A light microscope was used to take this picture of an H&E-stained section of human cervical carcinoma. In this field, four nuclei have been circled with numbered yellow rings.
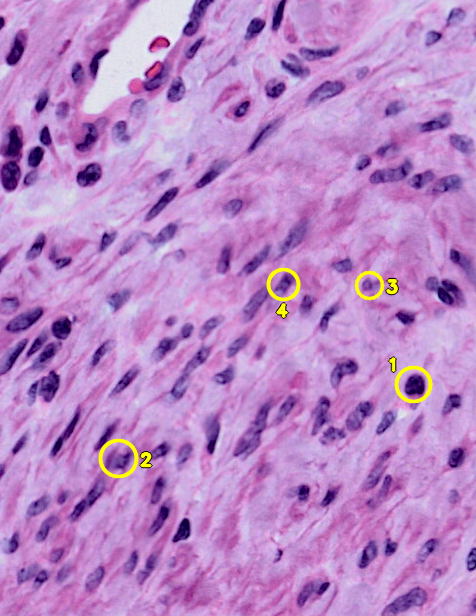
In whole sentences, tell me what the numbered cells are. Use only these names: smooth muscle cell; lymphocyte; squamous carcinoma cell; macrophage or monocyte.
Cell 1 is a lymphocyte, cell 2 is a smooth muscle cell, cell 3 is a smooth muscle cell and cell 4 is a smooth muscle cell.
